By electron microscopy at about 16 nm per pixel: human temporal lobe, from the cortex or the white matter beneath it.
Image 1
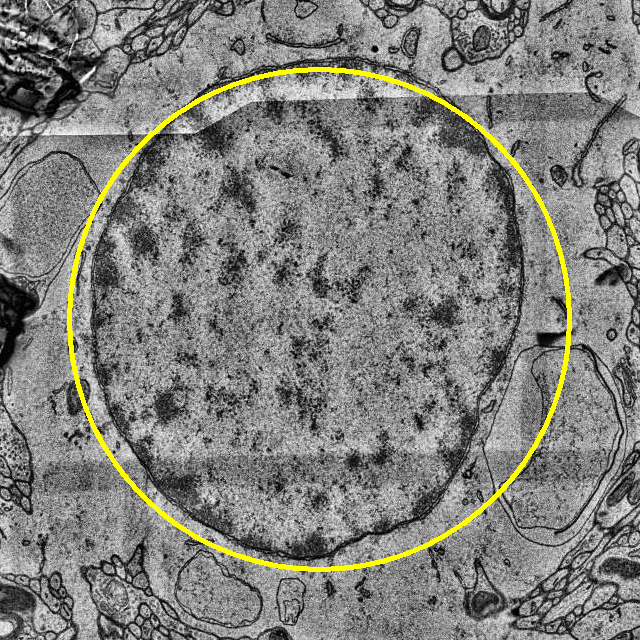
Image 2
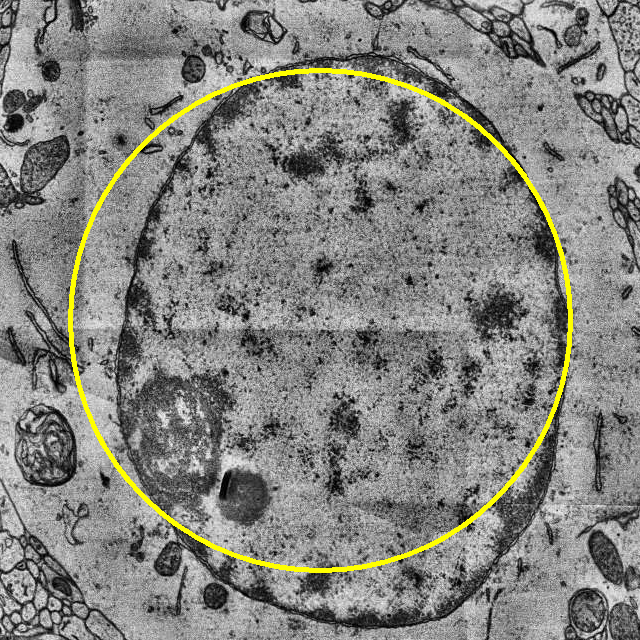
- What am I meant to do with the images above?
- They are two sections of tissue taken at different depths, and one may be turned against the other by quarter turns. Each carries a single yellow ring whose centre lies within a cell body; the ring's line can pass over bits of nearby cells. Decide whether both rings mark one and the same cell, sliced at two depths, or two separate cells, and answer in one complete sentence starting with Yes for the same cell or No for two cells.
Yes, both yellow rings mark one and the same cell.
